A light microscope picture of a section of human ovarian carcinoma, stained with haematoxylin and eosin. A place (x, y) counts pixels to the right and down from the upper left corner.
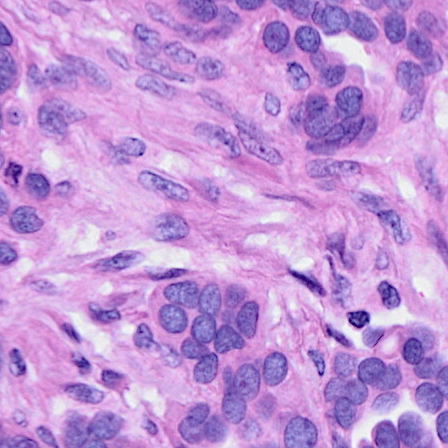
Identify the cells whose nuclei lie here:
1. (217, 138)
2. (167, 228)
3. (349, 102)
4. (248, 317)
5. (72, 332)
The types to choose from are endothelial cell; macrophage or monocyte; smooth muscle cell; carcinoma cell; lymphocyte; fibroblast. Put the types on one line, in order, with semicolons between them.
fibroblast; fibroblast; carcinoma cell; carcinoma cell; fibroblast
